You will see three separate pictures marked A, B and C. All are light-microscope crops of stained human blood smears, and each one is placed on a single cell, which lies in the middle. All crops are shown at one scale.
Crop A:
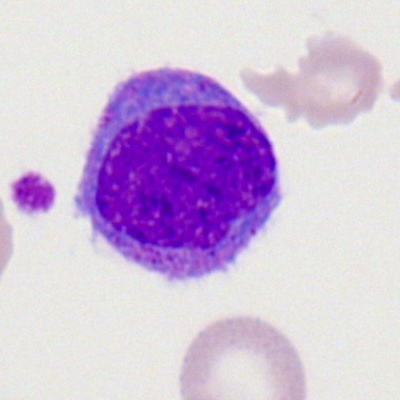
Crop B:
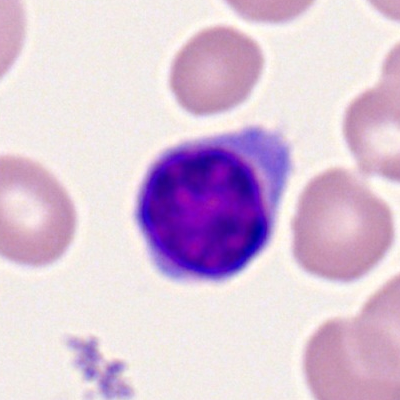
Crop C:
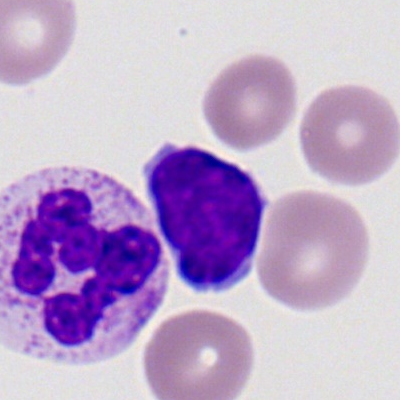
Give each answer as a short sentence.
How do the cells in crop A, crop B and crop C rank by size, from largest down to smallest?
From the largest down, the order is A, B, C.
